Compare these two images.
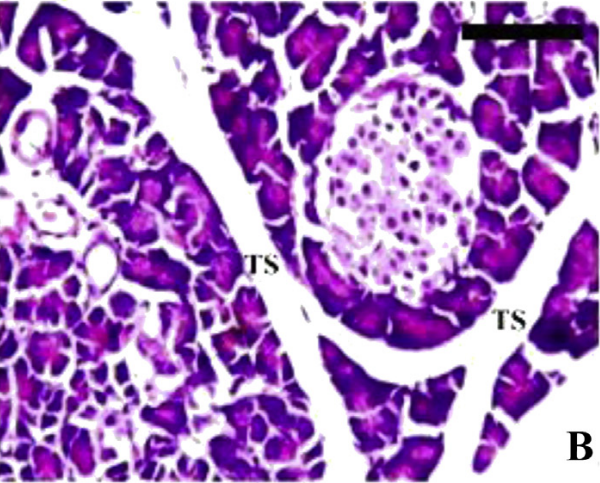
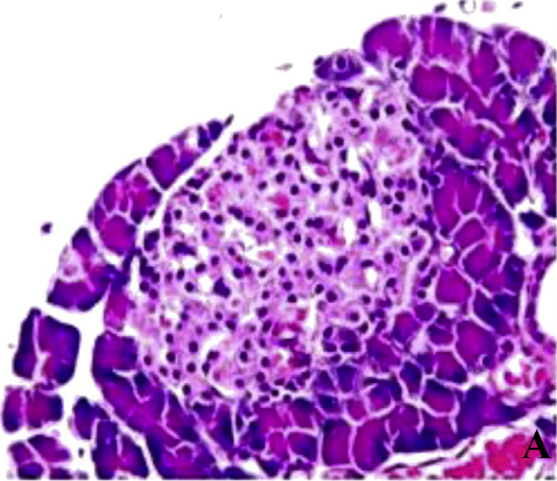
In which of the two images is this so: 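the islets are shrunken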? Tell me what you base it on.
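First image: the pale islet is small and rounded, occupying a small part of the field. Second image: the pale islet is large and spreads across much of the field.
Hence: the first image.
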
